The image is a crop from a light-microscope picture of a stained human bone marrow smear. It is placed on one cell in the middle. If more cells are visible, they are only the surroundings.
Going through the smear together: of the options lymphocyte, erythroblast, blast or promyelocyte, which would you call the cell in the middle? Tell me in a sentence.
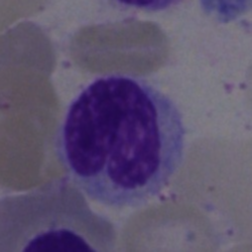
Classification of the middle cell gives a lymphocyte.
